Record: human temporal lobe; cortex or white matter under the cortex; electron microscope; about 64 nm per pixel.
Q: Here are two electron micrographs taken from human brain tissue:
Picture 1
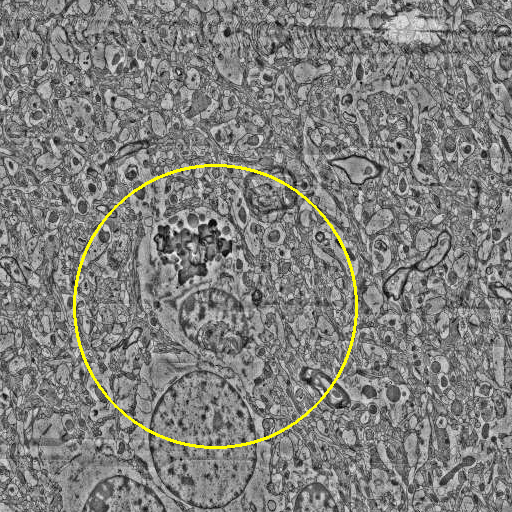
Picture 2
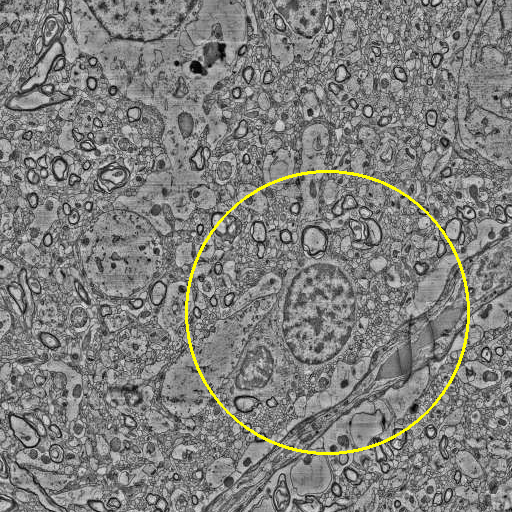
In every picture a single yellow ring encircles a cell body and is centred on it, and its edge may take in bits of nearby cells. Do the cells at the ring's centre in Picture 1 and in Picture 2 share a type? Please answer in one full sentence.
No, the cells at the ring's centre in Picture 1 and Picture 2 are of two types.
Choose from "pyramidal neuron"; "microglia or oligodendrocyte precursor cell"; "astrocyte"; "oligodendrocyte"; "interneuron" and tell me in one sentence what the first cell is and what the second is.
What the first ring is centred on is an astrocyte; what the second ring is centred on is an oligodendrocyte.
